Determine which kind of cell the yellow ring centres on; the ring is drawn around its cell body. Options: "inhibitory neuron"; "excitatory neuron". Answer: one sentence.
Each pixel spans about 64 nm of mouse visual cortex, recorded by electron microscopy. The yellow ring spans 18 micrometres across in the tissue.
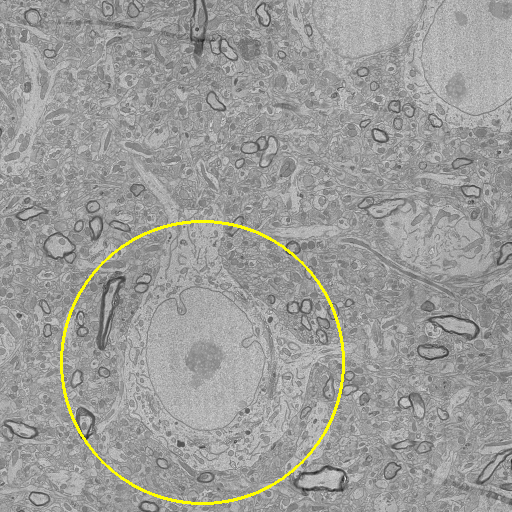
The ring centres on an inhibitory neuron.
